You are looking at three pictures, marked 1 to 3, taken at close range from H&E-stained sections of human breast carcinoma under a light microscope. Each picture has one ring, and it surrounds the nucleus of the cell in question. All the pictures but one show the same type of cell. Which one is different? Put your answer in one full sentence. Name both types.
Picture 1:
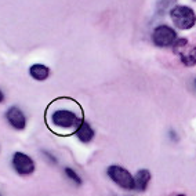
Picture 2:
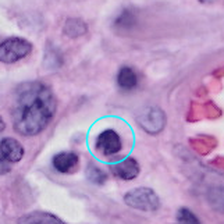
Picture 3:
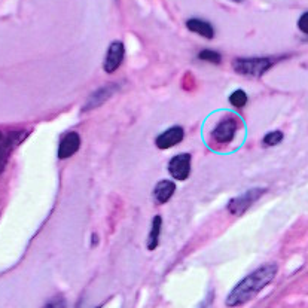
Unlike the rest, which show lymphocytes, picture 3 shows a mast cell.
